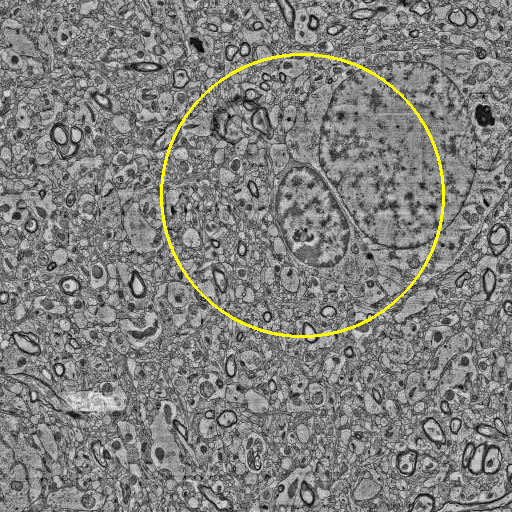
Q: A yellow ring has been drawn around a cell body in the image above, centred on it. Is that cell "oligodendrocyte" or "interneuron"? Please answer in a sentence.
The ring surrounds the cell body of an oligodendrocyte.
